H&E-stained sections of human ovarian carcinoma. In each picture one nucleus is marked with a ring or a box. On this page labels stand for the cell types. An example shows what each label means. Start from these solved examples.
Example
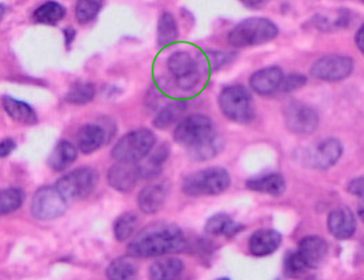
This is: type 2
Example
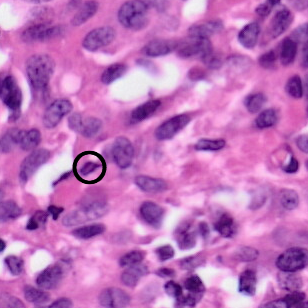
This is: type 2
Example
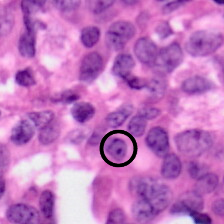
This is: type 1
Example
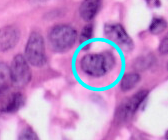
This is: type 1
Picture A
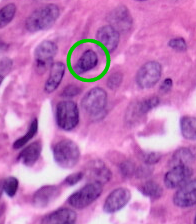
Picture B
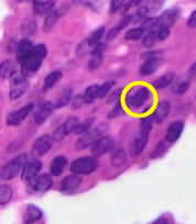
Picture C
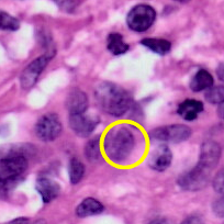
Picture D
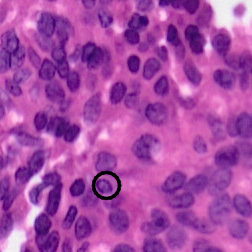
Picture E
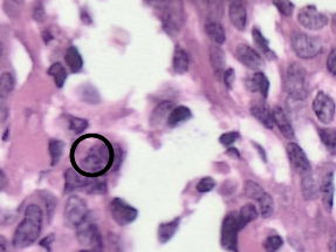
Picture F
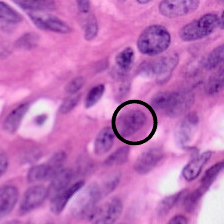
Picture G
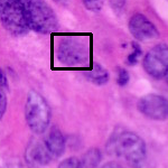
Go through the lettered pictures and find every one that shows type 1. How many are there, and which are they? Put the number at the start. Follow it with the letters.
Count: 2 (A, D)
